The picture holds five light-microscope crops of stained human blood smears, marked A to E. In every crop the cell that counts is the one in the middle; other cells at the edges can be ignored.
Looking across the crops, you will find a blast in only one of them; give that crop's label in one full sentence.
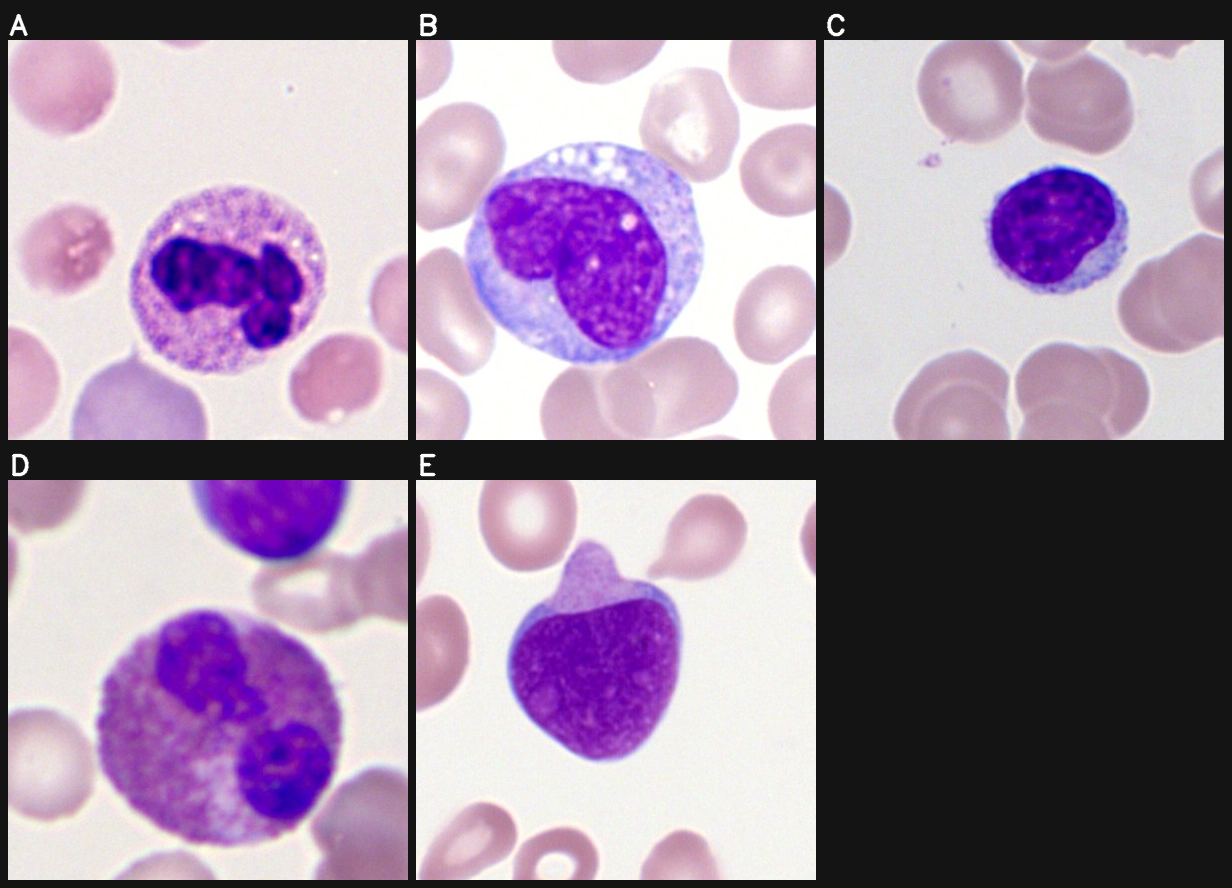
The crop bearing a blast is crop E.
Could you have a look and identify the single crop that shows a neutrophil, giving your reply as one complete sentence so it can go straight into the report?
Crop A is the one in this set that shows a neutrophil.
